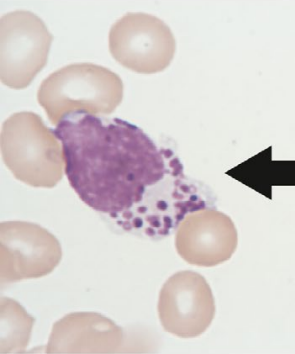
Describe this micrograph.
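A single basophil lies among pale pink red blood cells, which have no nuclei. Its nucleus stains purple and takes up much of the cell. The cytoplasm holds coarse, dark purple-black granules, most of them towards the lower right edge of the cell. Part of the cytoplasm on that side looks pale and somewhat vacuolated.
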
